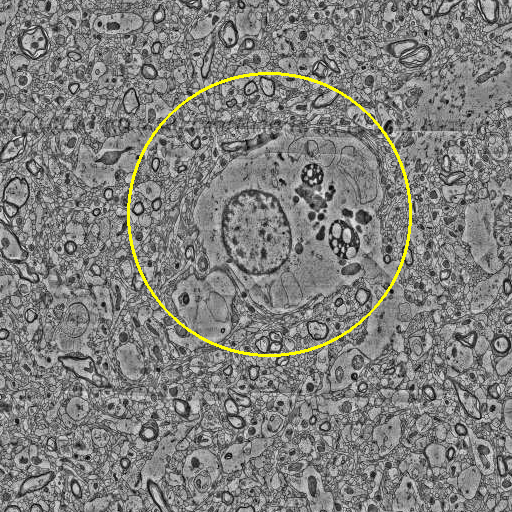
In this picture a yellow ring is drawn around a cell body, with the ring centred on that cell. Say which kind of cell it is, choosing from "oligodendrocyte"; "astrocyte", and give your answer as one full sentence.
Here it is an astrocyte that sits at the centre of the drawn yellow ring.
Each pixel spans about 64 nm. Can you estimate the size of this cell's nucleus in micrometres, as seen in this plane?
In this plane the nucleus spans approximately 5 by 4 micrometers.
